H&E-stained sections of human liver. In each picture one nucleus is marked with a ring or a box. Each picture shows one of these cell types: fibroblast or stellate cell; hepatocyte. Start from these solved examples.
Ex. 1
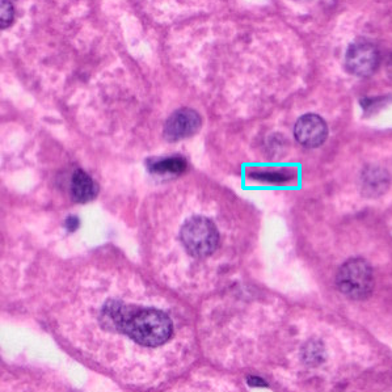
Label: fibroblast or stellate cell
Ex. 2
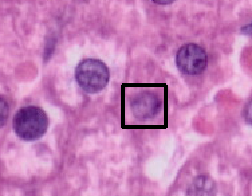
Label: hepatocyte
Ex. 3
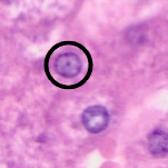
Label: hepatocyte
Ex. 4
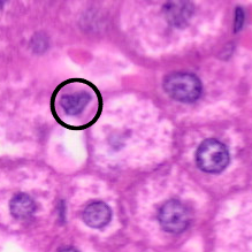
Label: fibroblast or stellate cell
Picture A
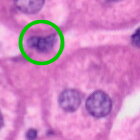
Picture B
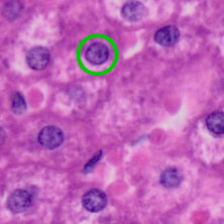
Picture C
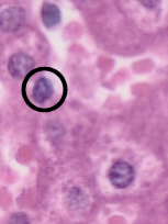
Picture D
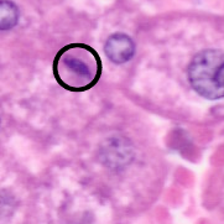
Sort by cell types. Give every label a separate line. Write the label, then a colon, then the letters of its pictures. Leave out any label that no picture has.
fibroblast or stellate cell: A, C, D
hepatocyte: B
